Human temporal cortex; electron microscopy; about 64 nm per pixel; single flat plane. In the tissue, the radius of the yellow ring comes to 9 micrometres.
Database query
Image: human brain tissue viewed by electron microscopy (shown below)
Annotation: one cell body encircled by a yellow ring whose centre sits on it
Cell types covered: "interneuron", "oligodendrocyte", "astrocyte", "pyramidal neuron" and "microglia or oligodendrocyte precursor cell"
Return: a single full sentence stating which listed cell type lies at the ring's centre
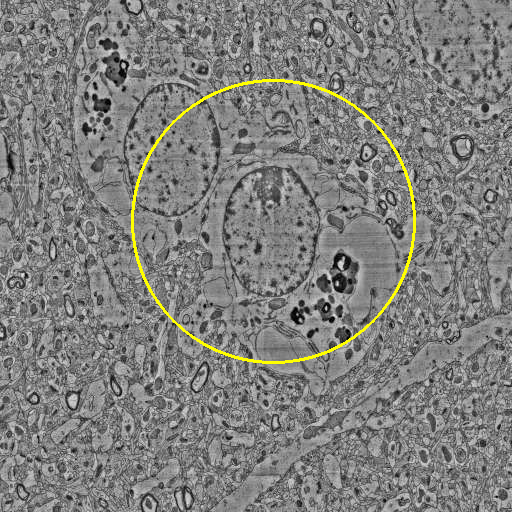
In the image, the cell lying at the ring's centre is an astrocyte.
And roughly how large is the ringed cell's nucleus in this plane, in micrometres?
About 8 by 6 micrometers, in this plane.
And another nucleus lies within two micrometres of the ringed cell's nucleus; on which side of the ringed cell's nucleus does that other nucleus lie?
The other nucleus lies to the upper left of it in the picture.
